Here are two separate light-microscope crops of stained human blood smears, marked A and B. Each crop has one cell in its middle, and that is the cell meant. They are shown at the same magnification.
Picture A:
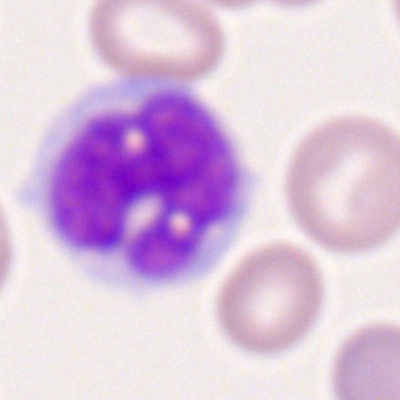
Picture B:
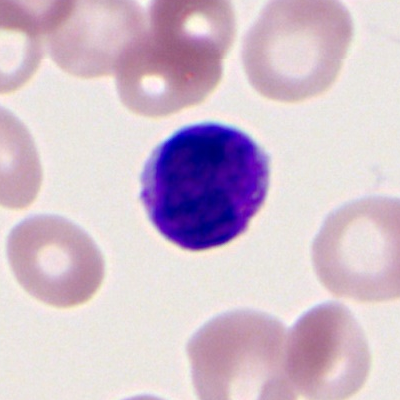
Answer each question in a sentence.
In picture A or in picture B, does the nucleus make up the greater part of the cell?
In picture B the nucleus takes up the larger part of its cell.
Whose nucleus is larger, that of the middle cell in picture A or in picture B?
The nucleus in picture A is larger, with about 2 times the area of the one in picture B.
